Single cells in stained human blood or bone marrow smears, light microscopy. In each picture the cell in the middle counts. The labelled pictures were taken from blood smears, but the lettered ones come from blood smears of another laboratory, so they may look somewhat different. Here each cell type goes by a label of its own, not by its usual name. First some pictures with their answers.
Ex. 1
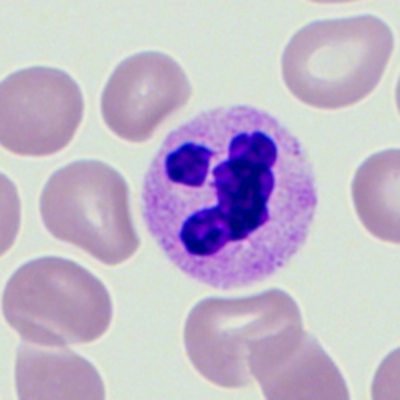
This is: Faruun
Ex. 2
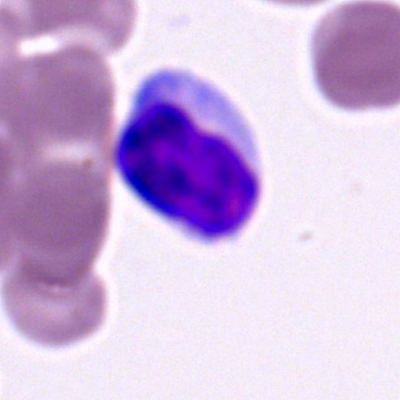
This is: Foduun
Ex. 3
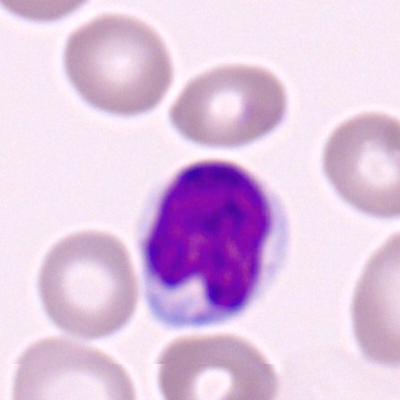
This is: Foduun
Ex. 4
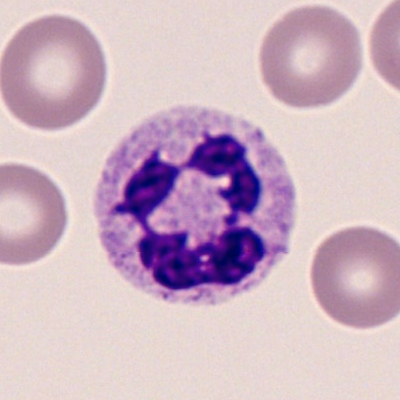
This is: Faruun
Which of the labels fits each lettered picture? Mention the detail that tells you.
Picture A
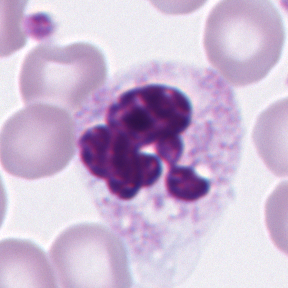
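Faruun: The nucleus is split into more than three separate lobes.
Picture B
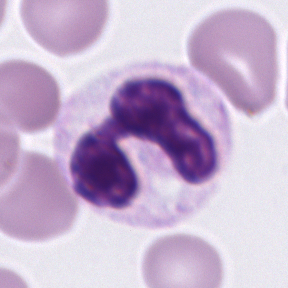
Faruun: The cytoplasm is abundant and pale pinkish-lilac.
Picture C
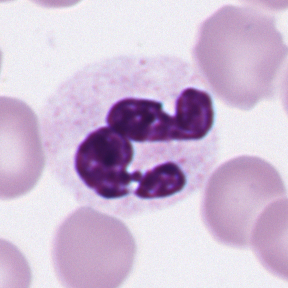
Faruun: The cytoplasm is abundant and pale pink.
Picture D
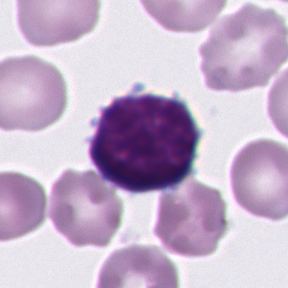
Foduun: Only a very thin rim of cytoplasm shows around the nucleus.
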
